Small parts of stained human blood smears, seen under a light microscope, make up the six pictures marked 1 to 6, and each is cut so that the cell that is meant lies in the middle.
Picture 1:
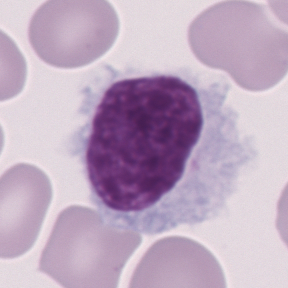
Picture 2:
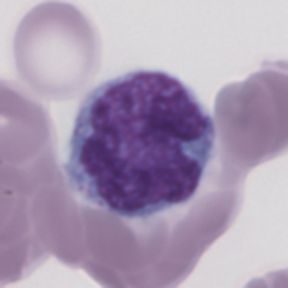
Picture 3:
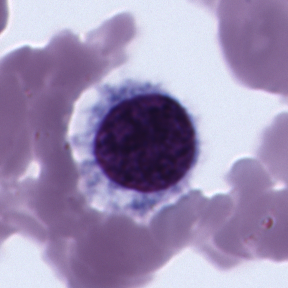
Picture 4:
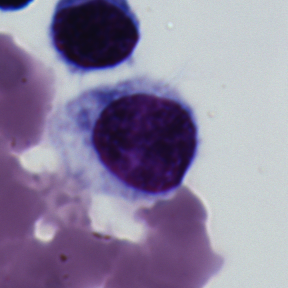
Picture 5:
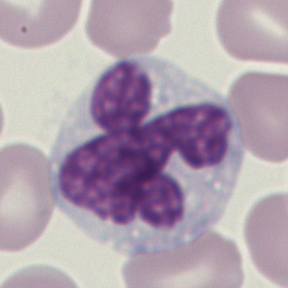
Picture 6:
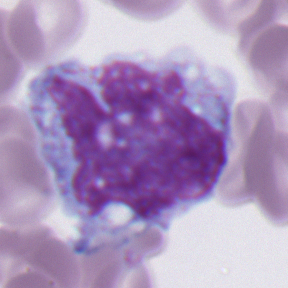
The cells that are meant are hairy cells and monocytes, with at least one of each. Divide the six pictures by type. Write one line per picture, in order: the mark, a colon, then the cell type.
1: hairy cell
2: monocyte
3: hairy cell
4: hairy cell
5: monocyte
6: monocyte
